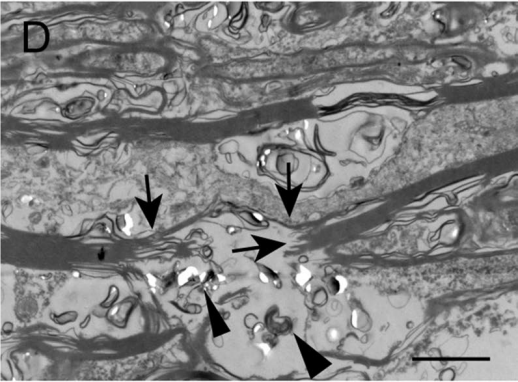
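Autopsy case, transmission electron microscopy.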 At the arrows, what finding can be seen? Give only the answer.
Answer: Deformed and disrupted myelin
